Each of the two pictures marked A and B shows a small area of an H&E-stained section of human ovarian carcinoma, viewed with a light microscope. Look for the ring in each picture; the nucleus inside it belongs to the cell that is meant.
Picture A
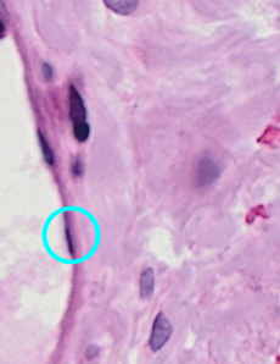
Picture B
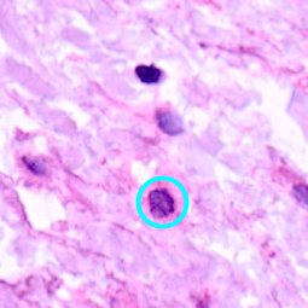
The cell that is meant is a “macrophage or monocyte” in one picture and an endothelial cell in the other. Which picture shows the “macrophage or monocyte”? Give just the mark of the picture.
B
